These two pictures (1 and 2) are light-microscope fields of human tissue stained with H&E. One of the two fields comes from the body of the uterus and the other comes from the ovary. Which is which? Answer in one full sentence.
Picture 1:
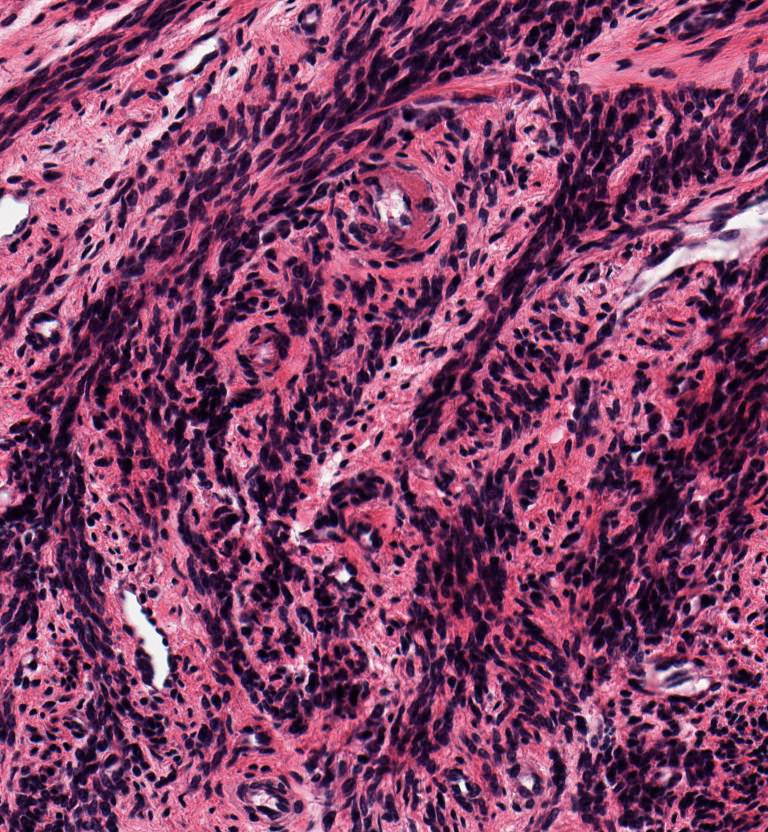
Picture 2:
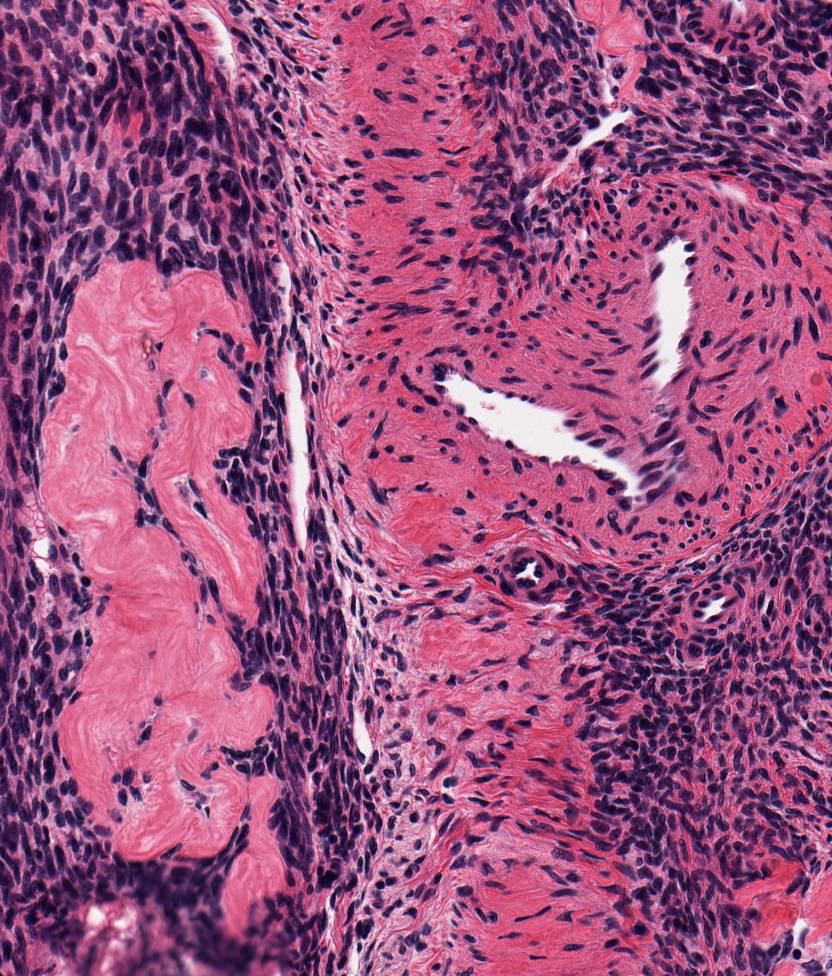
Picture 2 comes from the ovary, while picture 1 comes from the body of the uterus.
